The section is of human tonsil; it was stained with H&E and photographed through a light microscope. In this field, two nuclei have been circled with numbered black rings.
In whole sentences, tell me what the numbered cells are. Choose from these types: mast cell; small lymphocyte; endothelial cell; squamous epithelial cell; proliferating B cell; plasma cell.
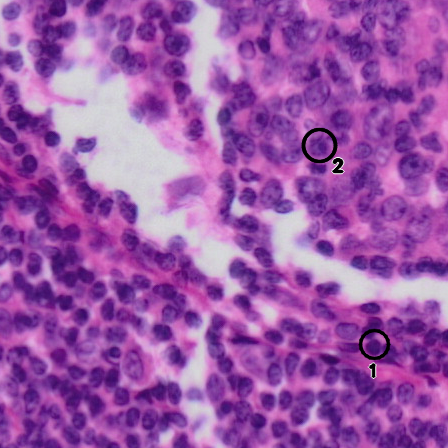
Cell 1 is a small lymphocyte. Cell 2 is a proliferating B cell.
